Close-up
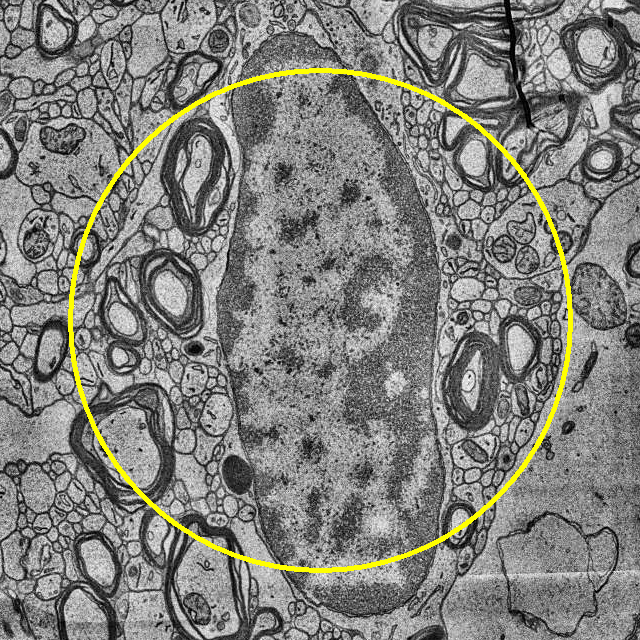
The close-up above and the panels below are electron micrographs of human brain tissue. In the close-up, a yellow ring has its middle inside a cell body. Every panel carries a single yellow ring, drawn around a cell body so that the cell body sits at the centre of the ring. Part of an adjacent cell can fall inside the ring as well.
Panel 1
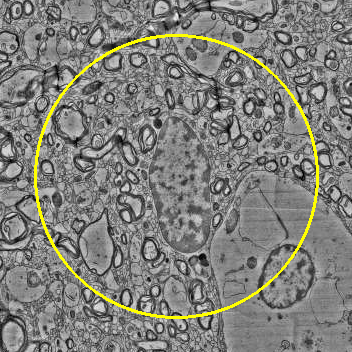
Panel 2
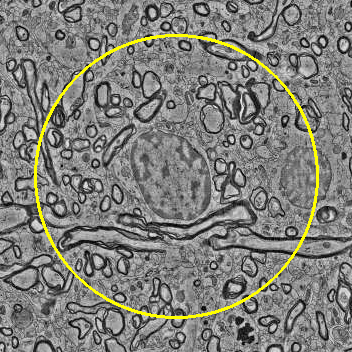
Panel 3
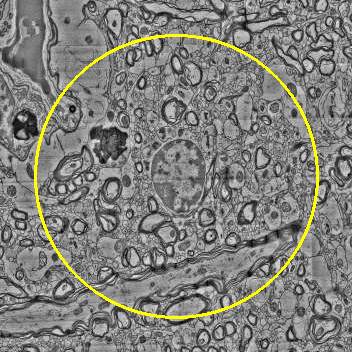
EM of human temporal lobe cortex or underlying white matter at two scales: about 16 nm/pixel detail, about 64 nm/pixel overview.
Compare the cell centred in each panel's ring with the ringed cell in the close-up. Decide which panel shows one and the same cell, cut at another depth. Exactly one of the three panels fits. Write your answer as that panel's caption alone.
Panel 1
